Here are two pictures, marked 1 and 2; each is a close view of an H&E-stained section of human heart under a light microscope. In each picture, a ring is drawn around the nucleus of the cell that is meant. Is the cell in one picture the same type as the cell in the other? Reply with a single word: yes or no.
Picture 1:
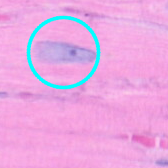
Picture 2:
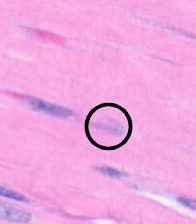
yes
